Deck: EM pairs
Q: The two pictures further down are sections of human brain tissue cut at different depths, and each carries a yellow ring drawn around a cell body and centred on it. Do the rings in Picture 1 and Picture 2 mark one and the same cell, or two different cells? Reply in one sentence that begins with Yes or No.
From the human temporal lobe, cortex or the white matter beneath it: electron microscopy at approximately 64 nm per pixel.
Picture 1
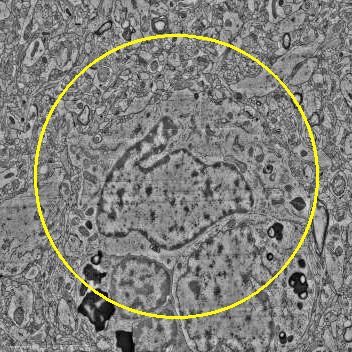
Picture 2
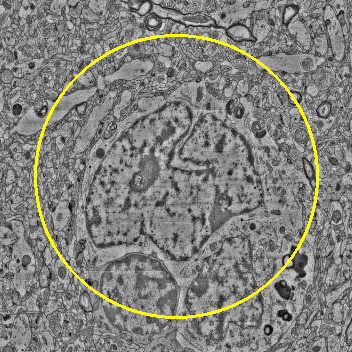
Yes, these two rings point to one cell rather than two.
